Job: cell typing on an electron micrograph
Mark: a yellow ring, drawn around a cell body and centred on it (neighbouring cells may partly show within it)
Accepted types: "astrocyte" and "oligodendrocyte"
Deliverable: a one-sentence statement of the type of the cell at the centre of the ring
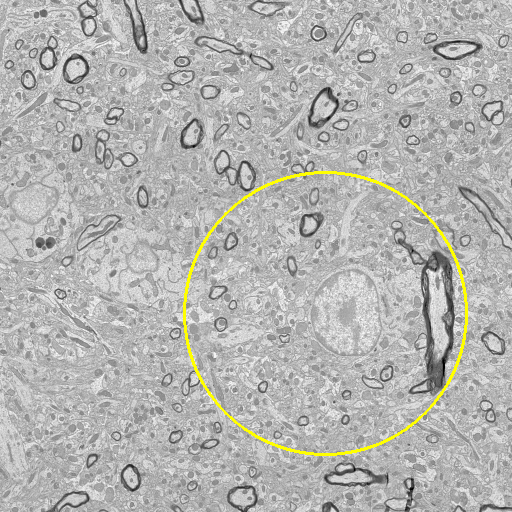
The centred cell body is that of an oligodendrocyte.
